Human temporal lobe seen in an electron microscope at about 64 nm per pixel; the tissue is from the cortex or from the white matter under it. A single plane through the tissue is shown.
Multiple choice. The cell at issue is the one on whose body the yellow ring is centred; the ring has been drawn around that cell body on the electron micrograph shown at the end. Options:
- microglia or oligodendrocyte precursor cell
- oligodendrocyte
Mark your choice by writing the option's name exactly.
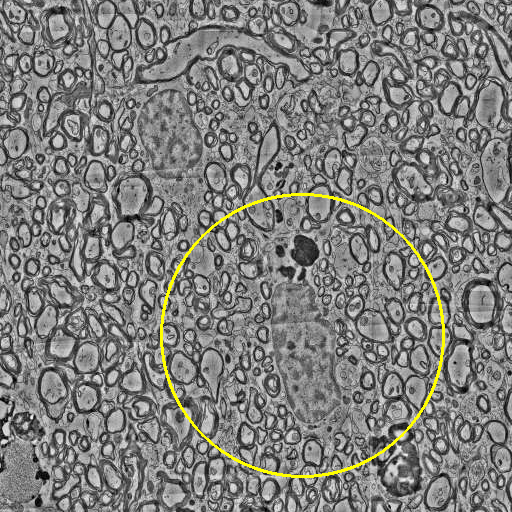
oligodendrocyte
